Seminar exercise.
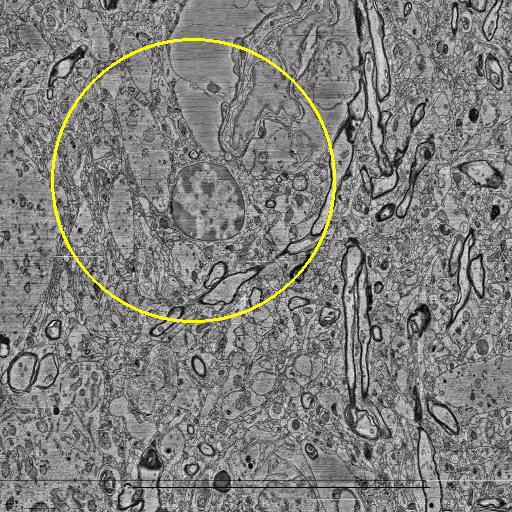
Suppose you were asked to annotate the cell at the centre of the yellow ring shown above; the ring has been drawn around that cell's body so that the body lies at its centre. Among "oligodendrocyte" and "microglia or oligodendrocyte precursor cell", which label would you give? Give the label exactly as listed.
microglia or oligodendrocyte precursor cell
